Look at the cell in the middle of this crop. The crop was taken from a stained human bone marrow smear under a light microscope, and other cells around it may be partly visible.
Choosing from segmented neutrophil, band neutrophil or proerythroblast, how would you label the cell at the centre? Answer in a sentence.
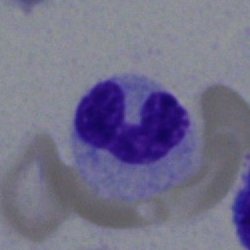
The central cell in this smear crop is a band neutrophil.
